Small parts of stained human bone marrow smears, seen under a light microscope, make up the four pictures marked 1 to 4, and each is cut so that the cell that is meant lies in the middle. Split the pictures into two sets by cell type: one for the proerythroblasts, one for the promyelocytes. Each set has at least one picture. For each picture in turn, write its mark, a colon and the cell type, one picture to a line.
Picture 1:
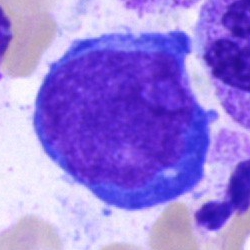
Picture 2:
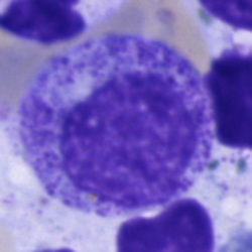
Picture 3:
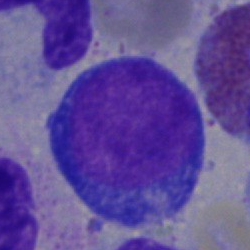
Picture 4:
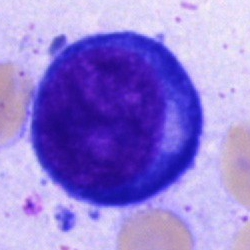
1: proerythroblast
2: promyelocyte
3: proerythroblast
4: proerythroblast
